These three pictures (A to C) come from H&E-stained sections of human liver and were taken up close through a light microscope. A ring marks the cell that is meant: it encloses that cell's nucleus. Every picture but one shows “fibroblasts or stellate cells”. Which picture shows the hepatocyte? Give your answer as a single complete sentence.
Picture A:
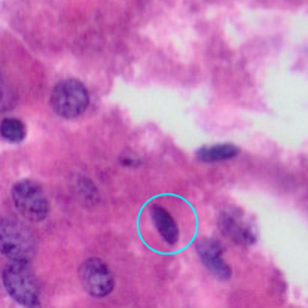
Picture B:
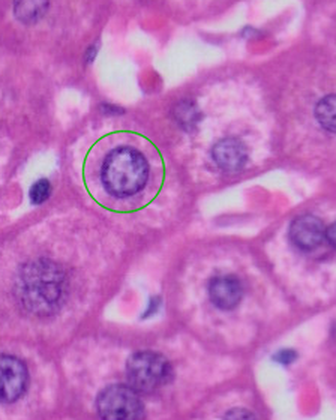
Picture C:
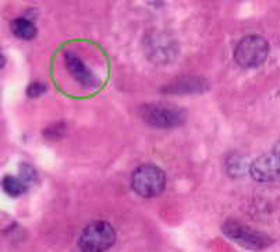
It is picture B that shows the hepatocyte.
